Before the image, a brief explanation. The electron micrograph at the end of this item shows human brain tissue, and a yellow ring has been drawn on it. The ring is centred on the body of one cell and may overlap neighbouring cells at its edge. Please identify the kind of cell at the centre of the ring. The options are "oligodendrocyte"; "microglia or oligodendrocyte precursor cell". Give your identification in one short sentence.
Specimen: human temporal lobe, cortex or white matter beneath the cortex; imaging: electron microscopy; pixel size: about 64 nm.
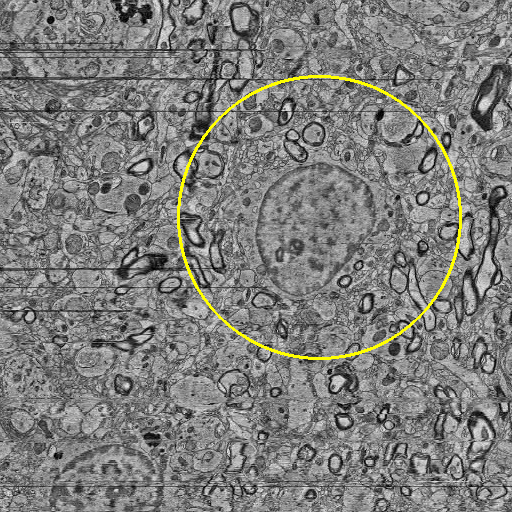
The ring has been placed around an oligodendrocyte.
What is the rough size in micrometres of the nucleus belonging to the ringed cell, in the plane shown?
The ringed cell's nucleus measures approximately 9 by 7 micrometres in this plane.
